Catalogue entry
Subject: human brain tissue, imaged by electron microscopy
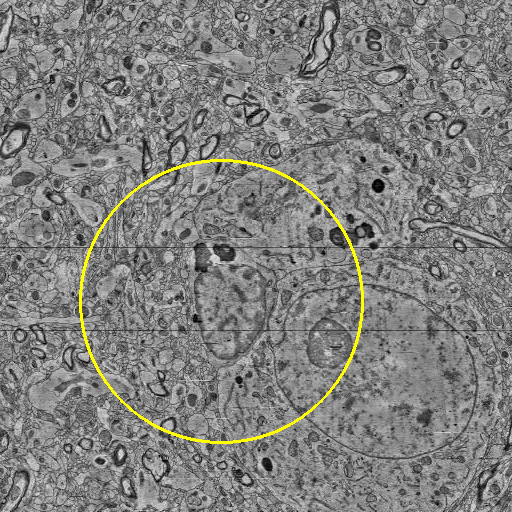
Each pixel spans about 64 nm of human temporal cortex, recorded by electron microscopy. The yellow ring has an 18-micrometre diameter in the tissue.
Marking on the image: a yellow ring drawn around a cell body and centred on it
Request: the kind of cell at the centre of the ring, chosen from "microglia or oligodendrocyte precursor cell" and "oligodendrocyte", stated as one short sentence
The ring has an oligodendrocyte at its centre.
